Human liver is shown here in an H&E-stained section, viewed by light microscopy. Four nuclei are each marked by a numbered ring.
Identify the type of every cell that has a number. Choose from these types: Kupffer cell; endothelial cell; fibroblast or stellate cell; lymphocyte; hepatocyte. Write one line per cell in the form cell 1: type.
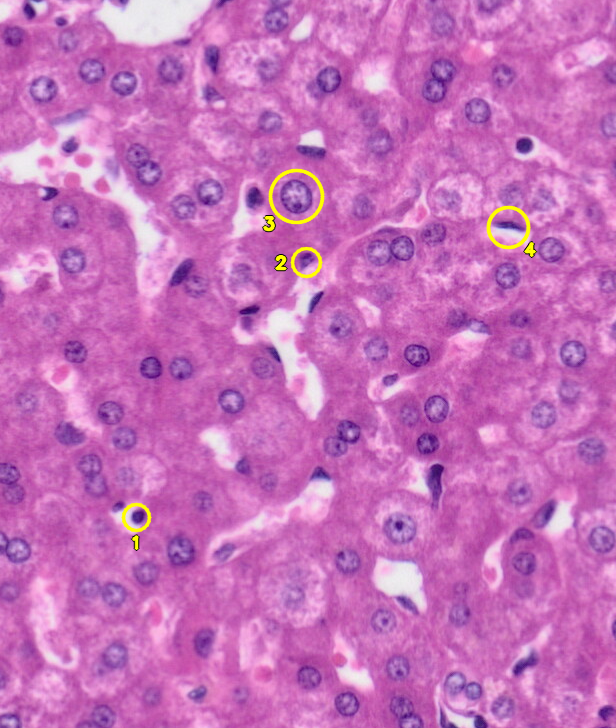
cell 1: lymphocyte
cell 2: fibroblast or stellate cell
cell 3: hepatocyte
cell 4: endothelial cell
